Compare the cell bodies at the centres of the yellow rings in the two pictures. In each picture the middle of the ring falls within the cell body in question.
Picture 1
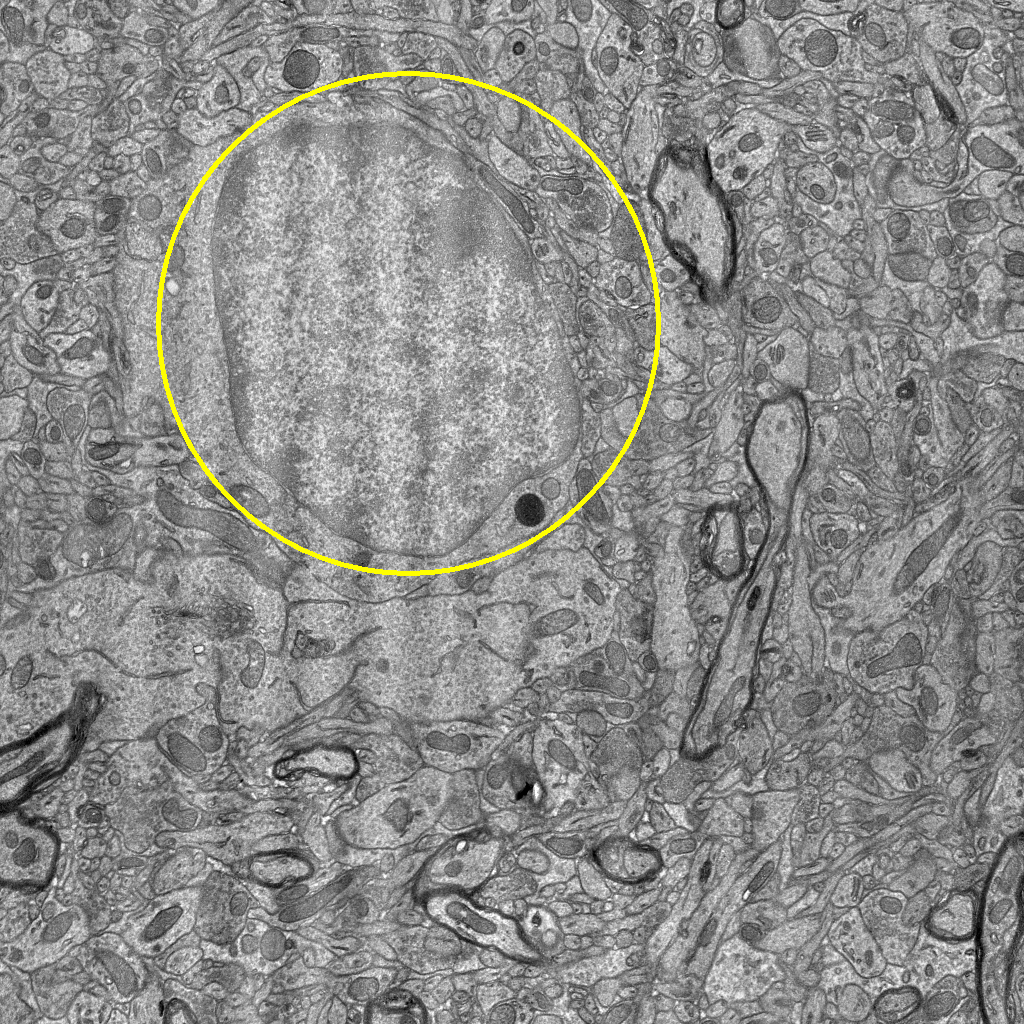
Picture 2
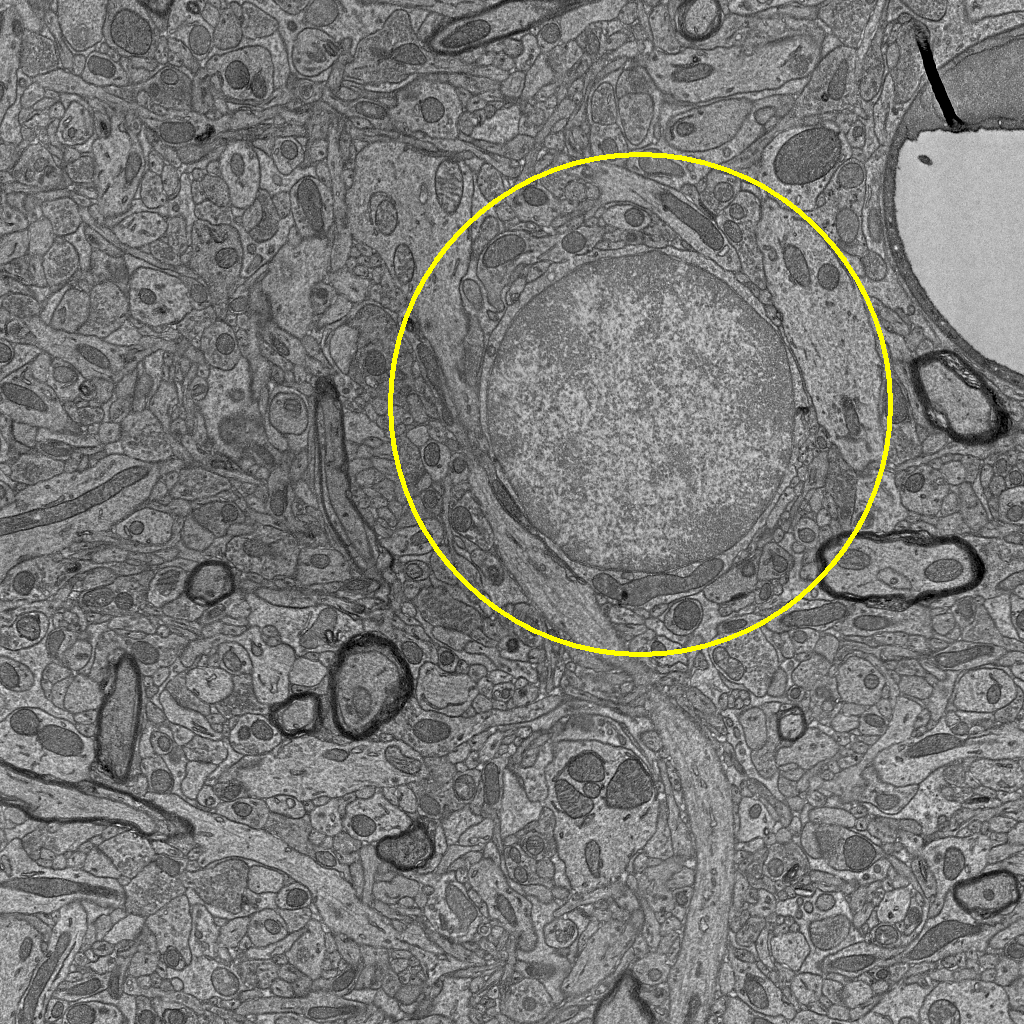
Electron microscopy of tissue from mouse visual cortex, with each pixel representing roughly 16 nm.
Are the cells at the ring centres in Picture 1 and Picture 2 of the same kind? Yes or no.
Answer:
yes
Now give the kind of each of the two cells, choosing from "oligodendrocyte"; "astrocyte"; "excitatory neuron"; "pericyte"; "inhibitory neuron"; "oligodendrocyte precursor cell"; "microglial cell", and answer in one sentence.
Each cell at the centre of a ring is an oligodendrocyte.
